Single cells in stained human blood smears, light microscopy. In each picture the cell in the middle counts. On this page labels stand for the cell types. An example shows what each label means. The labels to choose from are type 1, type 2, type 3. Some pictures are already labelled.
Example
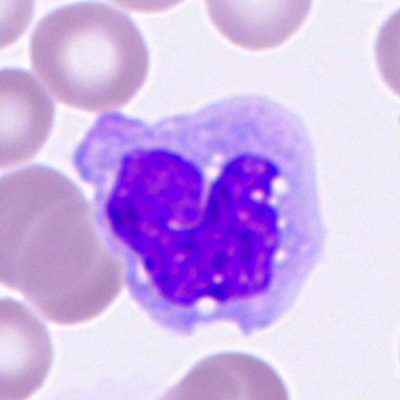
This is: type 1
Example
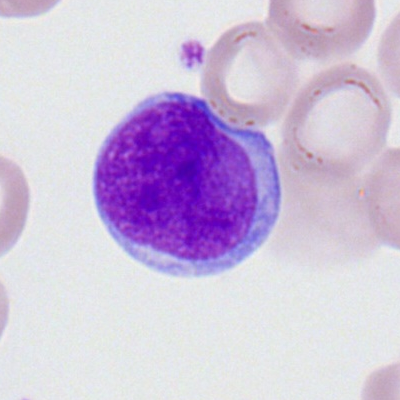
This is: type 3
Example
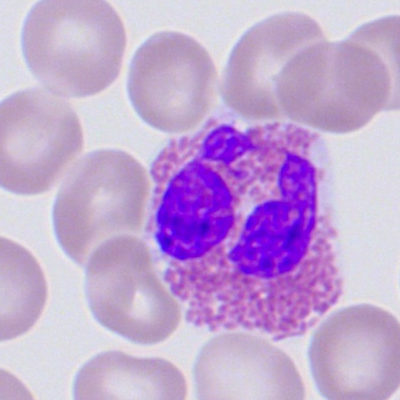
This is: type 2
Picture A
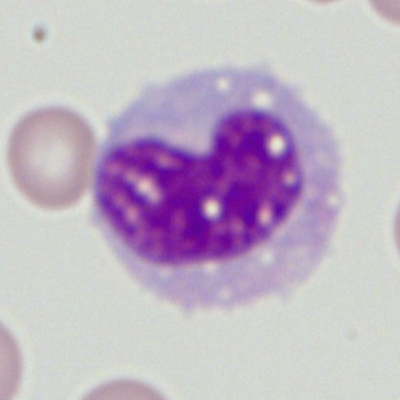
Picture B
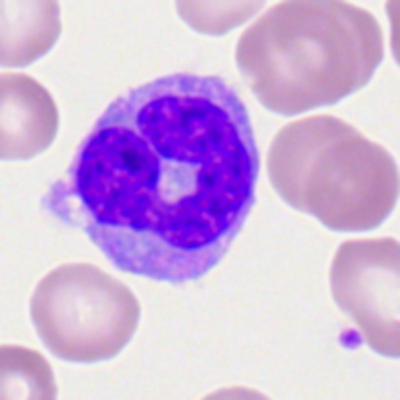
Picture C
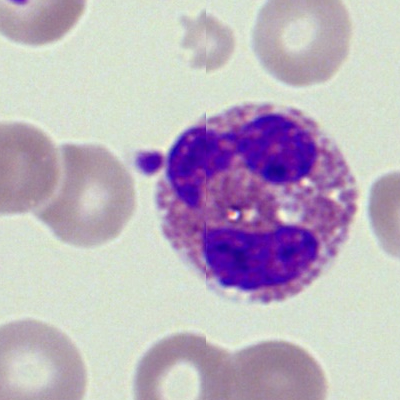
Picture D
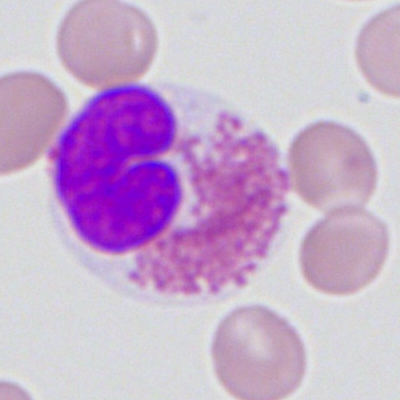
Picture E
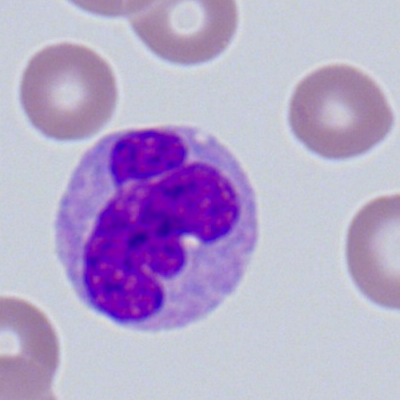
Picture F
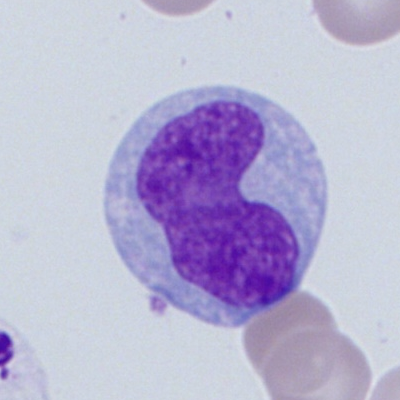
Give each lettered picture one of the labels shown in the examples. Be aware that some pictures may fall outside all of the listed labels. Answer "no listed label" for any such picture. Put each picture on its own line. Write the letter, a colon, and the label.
A: type 1
B: type 1
C: type 2
D: type 2
E: type 1
F: type 1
